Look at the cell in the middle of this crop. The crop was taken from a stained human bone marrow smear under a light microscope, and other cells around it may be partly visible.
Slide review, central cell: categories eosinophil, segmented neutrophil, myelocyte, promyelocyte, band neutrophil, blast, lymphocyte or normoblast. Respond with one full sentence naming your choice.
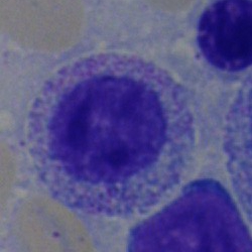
Located at the centre of the crop is a myelocyte.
